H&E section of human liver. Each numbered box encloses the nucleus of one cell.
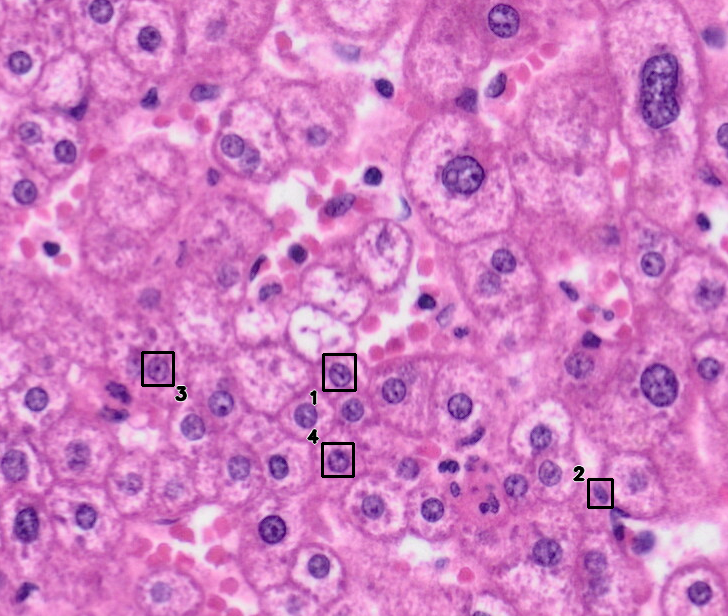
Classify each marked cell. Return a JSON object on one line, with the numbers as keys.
{"1": "hepatocyte", "2": "fibroblast or stellate cell", "3": "hepatocyte", "4": "hepatocyte"}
